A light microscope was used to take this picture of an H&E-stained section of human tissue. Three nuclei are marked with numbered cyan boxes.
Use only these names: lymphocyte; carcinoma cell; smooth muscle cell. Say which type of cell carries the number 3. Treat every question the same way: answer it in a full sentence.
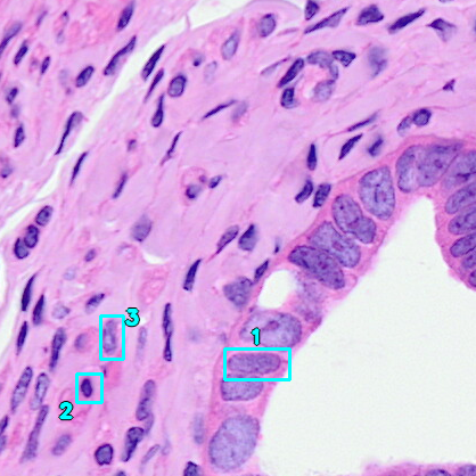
The cell carrying label 3 is identified as a smooth muscle cell.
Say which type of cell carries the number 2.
Among the marked cells, number 2 is a smooth muscle cell.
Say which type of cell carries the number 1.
Regarding cell 1, this one is a carcinoma cell.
